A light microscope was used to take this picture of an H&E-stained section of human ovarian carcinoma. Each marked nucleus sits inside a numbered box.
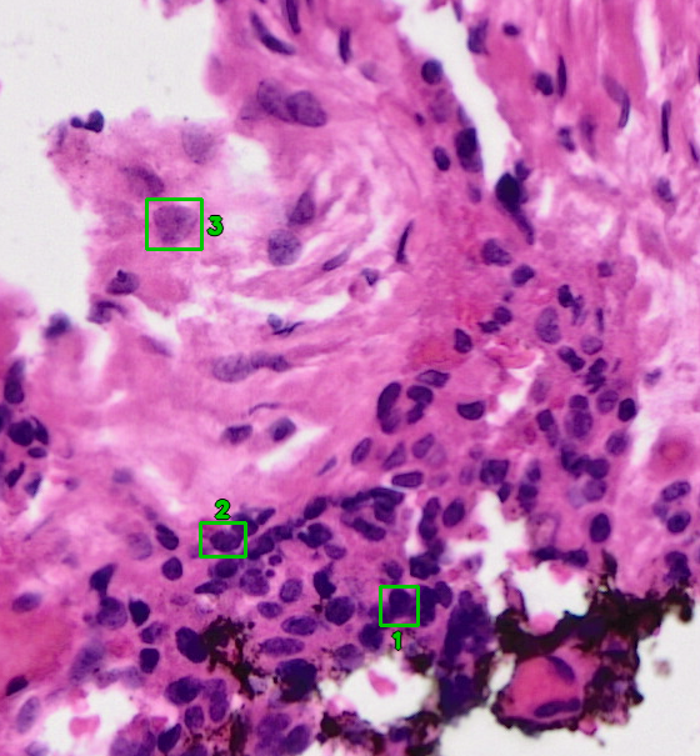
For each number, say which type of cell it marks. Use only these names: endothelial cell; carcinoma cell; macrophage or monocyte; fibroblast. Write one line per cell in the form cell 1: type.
cell 1: carcinoma cell
cell 2: carcinoma cell
cell 3: fibroblast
